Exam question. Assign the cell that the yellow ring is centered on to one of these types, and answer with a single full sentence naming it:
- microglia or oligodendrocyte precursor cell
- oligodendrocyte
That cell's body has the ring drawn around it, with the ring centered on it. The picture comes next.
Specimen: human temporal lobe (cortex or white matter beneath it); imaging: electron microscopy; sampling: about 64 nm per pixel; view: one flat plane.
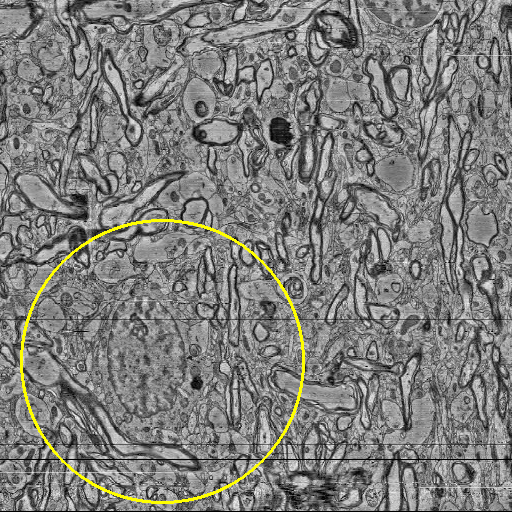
In the micrograph, the cell the yellow ring is centered on is an oligodendrocyte.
